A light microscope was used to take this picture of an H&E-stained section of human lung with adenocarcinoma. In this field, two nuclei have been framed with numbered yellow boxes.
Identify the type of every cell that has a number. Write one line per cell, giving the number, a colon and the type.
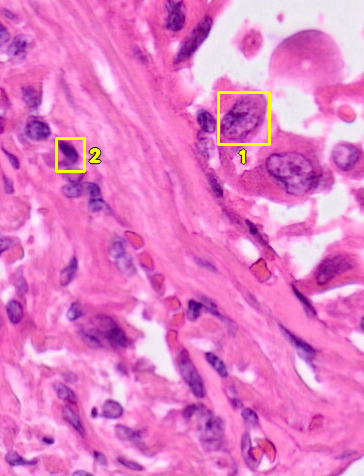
1: carcinoma cell
2: plasma cell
